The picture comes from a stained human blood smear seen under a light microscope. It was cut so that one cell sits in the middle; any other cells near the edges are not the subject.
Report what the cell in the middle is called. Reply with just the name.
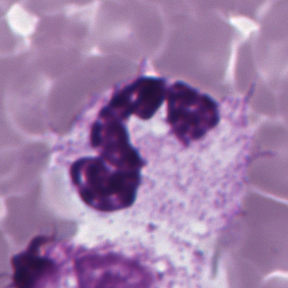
segmented neutrophil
